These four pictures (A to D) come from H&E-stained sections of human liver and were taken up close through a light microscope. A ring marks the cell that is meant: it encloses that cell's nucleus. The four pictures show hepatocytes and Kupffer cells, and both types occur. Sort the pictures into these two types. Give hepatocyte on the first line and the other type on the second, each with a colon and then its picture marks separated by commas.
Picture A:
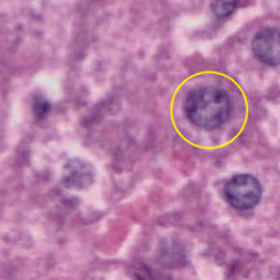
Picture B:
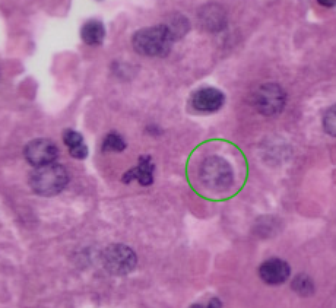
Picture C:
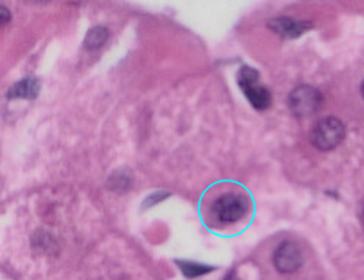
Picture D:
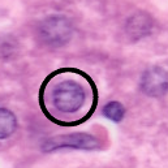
hepatocyte: A, B, D
Kupffer cell: C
